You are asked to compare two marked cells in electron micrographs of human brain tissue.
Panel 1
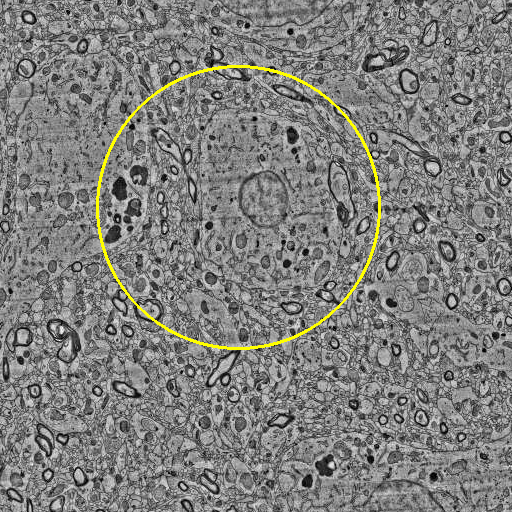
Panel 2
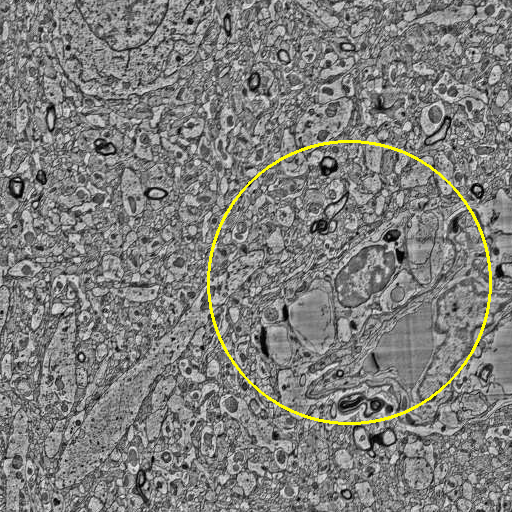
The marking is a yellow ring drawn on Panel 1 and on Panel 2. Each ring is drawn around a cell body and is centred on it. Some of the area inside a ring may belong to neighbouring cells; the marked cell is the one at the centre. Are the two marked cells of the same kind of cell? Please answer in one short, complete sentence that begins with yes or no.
Yes, the two marked cells are of the same kind.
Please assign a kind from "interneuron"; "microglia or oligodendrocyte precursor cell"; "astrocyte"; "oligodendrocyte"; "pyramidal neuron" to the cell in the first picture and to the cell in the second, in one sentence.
Both rings mark a microglial cell or oligodendrocyte precursor cell, one in each picture.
